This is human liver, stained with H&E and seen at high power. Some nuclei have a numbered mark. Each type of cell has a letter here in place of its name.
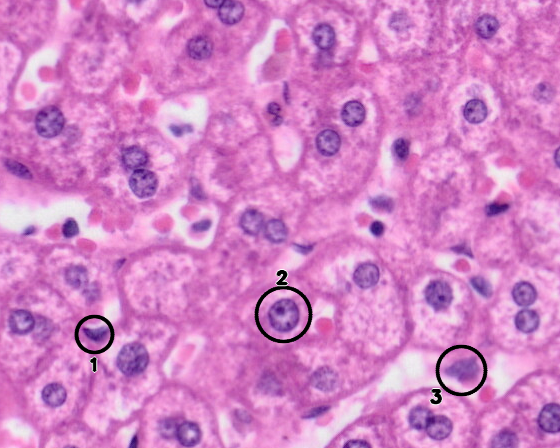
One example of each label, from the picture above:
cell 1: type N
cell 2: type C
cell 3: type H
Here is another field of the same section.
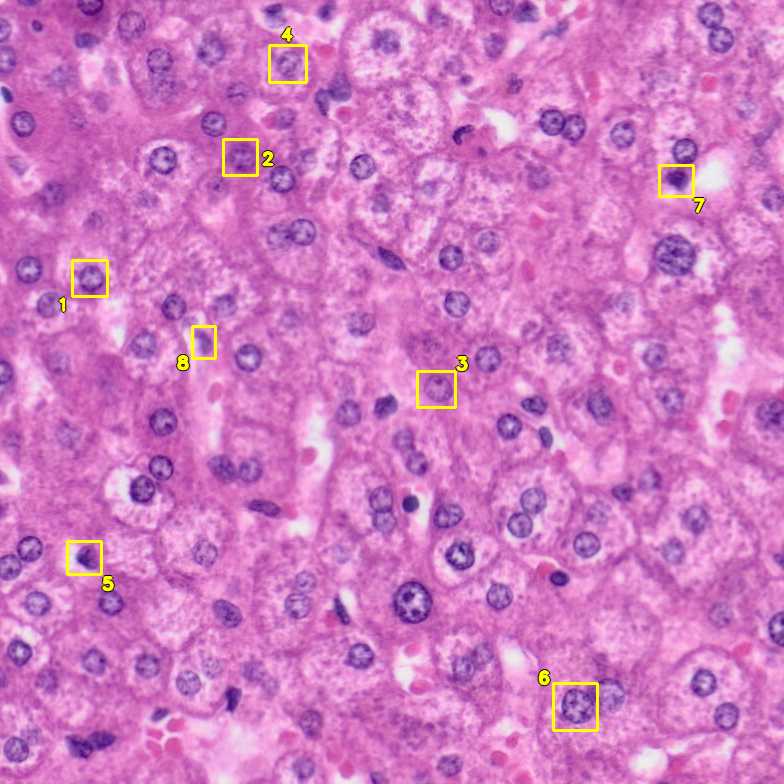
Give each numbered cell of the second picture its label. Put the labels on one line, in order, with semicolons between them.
type C; type C; type C; type C; type N; type C; type N; type H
